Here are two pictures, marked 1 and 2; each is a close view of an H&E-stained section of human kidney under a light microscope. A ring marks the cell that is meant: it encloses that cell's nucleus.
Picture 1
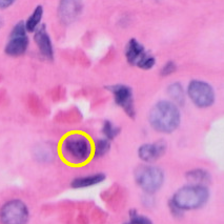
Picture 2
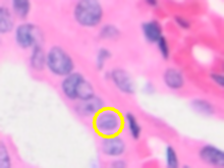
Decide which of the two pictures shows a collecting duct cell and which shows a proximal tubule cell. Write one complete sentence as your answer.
The cell in picture 1 is a proximal tubule cell, and the one in picture 2 is a collecting duct cell.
